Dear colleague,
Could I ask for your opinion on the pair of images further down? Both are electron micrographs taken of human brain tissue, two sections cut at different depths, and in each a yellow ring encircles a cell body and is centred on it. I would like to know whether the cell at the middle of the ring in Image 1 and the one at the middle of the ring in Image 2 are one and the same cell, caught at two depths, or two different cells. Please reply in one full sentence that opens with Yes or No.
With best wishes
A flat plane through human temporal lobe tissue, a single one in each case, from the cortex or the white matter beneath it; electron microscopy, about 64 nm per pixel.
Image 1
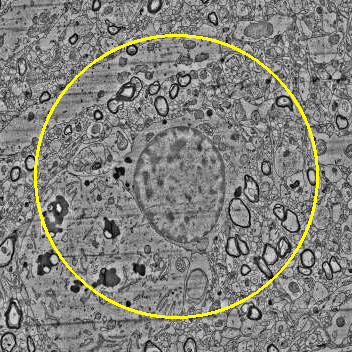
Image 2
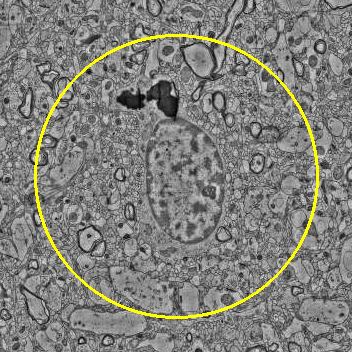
No, the yellow rings highlight two different cells in the tissue.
